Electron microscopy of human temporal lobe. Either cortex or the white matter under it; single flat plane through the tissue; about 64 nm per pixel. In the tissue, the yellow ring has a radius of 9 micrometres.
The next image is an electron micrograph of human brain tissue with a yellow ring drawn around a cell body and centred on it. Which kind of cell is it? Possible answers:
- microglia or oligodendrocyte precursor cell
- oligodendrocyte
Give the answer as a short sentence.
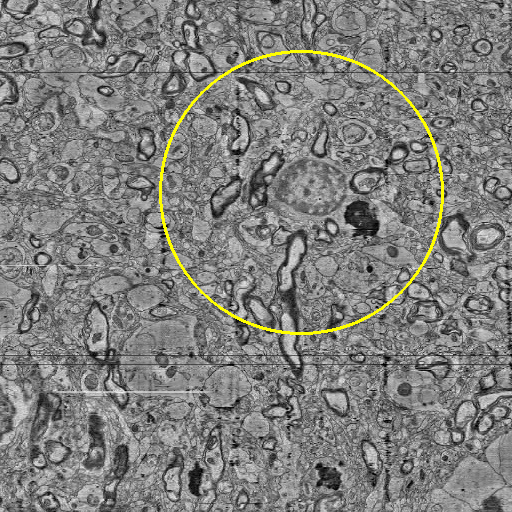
In the ring's centre is an oligodendrocyte.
